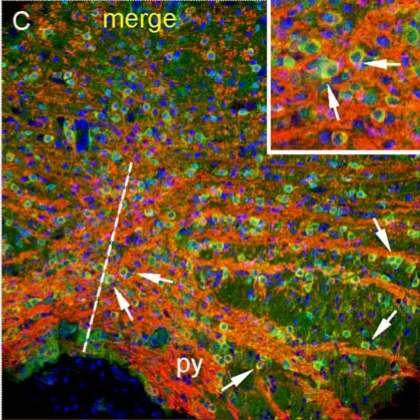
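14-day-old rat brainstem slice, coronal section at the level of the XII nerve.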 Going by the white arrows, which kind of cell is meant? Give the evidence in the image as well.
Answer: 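The arrowed cells have small round nuclei and a thin rim of cytoplasm.
Hence: oligodendrocytes.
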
